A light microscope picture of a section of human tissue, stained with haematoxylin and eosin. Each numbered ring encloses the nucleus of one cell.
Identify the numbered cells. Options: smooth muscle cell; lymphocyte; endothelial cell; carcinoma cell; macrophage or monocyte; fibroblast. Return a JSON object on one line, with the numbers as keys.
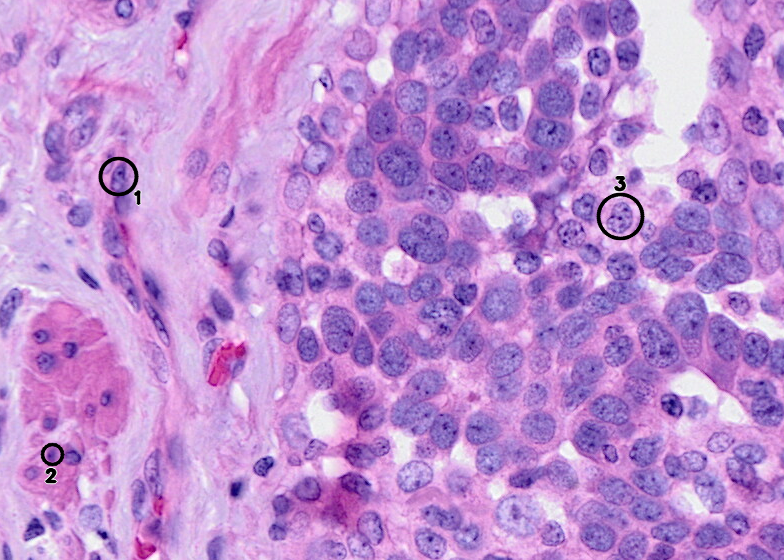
{"1": "endothelial cell", "2": "smooth muscle cell", "3": "macrophage or monocyte"}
